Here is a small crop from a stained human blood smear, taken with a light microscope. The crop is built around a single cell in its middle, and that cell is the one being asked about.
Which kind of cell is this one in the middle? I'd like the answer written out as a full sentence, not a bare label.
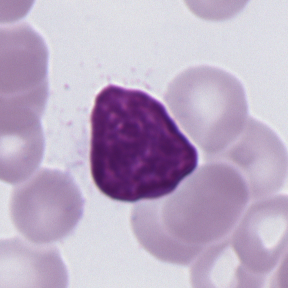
As for the central cell, it is a smudge cell.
